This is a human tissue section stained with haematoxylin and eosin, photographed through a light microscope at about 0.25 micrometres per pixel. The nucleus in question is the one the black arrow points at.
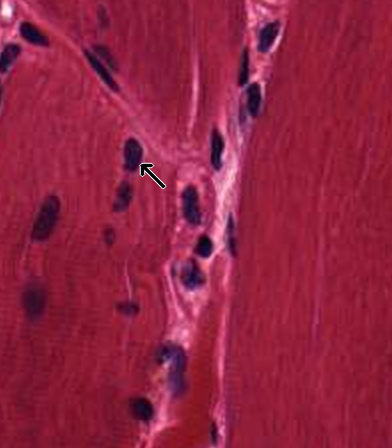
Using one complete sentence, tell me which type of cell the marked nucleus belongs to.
The marked nucleus here is the nucleus of a skeletal muscle fibre.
